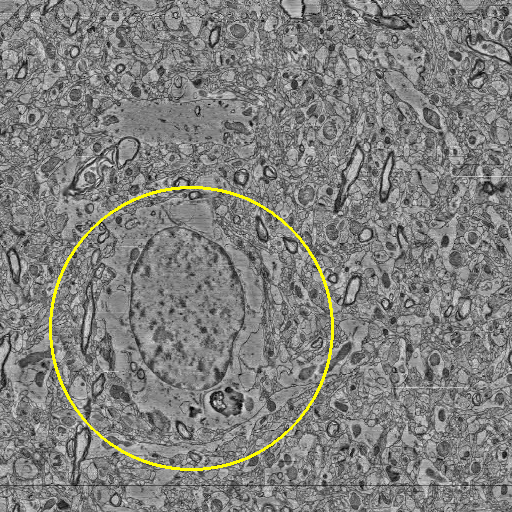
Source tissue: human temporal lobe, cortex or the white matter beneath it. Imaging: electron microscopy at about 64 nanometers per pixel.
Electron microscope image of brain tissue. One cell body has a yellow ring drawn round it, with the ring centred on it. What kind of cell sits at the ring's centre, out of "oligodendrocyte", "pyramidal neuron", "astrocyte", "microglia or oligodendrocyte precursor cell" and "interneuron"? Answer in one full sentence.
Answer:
It is an astrocyte whose cell body sits at the centre of the yellow ring.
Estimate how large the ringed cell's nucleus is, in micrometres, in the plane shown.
The nucleus comes to roughly 11 by 7 micrometres in this plane.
